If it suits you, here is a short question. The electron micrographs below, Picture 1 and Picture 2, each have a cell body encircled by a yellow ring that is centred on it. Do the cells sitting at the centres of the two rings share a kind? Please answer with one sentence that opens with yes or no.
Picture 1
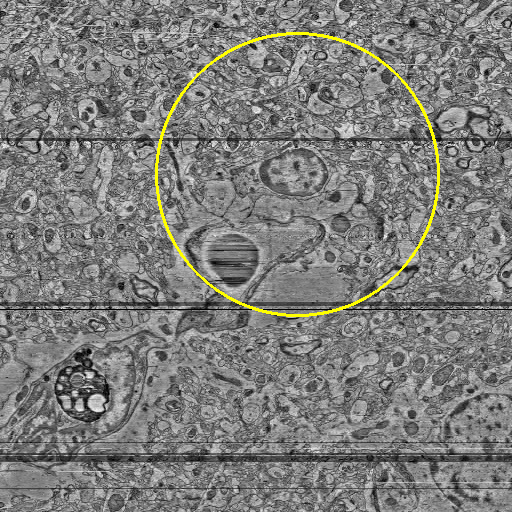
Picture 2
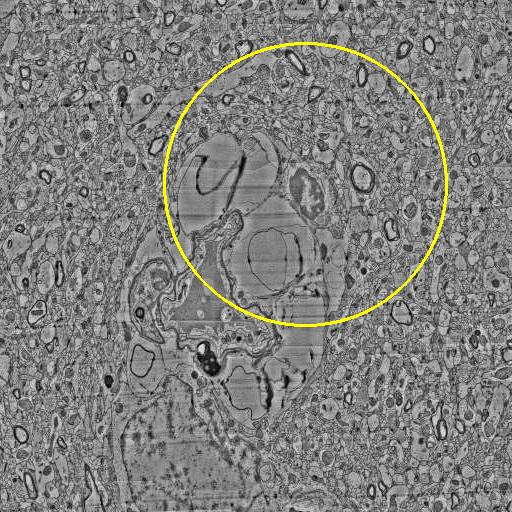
Yes, the two cells sitting at the ring centres share a single kind.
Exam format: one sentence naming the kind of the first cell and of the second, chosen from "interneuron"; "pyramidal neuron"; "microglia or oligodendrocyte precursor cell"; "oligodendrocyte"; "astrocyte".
Both cells are the same kind, each one being a microglial cell or oligodendrocyte precursor cell.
